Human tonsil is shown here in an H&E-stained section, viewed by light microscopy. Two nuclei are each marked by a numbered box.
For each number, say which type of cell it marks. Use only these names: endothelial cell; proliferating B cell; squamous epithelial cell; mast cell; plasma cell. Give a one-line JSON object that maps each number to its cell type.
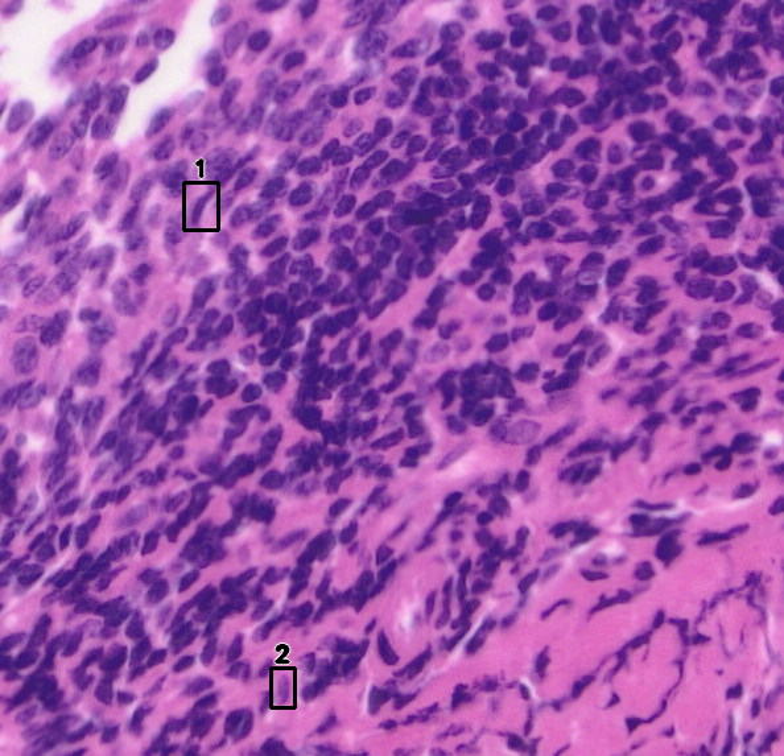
{"1": "proliferating B cell", "2": "endothelial cell"}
